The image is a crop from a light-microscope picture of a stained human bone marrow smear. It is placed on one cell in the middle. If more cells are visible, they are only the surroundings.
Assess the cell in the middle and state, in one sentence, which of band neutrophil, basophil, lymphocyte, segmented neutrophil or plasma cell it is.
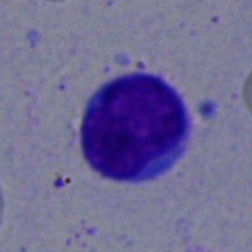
The middle of this crop holds a lymphocyte.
